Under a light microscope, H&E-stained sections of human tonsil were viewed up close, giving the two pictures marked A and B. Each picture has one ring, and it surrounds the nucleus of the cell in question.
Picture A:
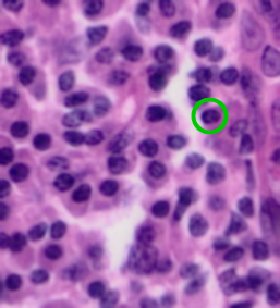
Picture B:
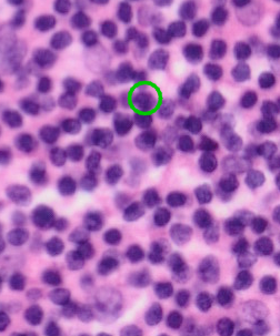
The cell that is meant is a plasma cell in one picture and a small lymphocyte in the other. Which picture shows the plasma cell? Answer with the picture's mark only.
A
